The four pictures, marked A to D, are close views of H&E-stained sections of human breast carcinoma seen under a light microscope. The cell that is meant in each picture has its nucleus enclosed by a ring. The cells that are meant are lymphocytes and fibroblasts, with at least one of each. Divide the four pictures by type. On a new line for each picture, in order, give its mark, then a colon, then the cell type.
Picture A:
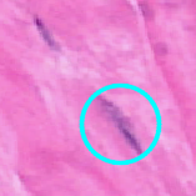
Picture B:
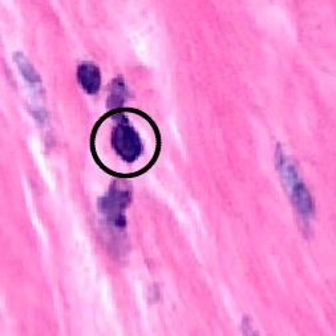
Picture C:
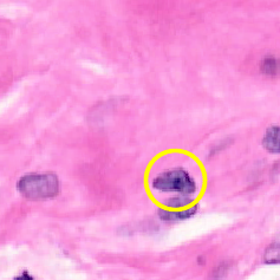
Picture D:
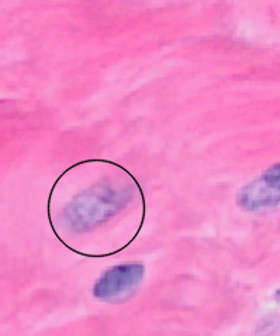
A: fibroblast
B: lymphocyte
C: lymphocyte
D: fibroblast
